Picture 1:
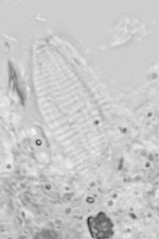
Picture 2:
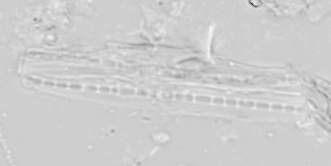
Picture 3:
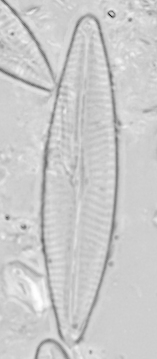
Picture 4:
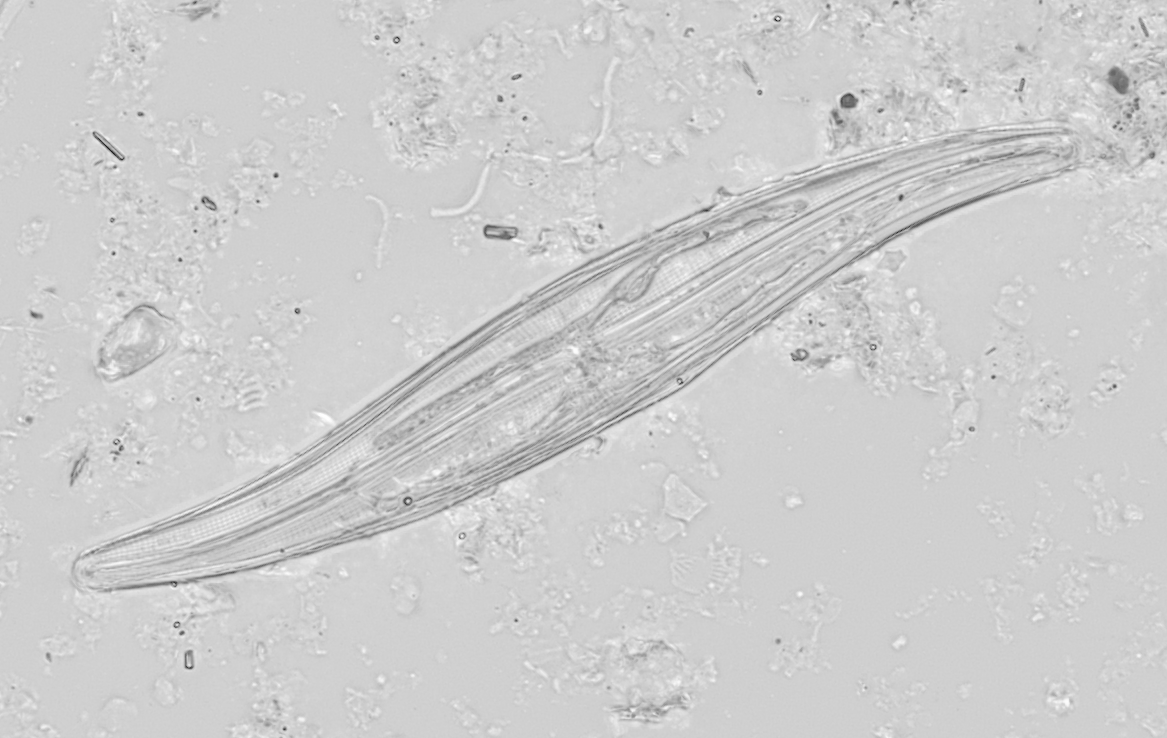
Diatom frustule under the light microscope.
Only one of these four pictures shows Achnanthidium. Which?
Picture 1.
